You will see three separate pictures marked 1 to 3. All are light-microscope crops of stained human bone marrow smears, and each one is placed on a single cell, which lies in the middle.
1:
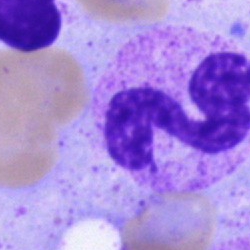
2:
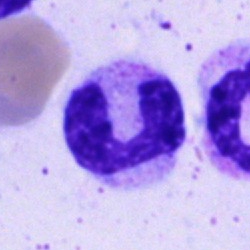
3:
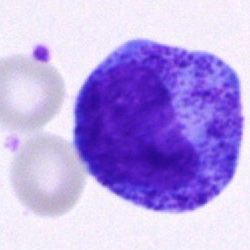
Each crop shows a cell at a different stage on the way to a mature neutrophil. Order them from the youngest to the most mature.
3, 2, 1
